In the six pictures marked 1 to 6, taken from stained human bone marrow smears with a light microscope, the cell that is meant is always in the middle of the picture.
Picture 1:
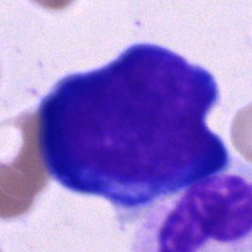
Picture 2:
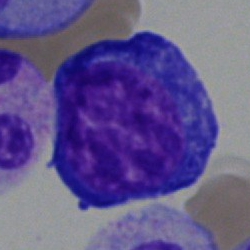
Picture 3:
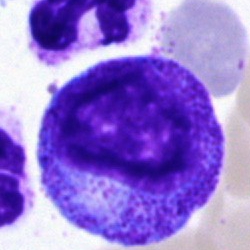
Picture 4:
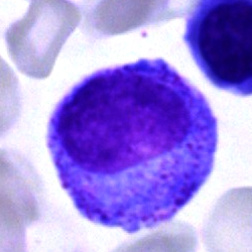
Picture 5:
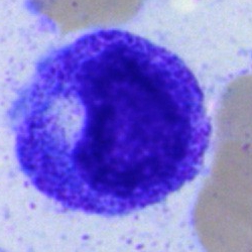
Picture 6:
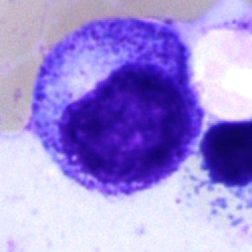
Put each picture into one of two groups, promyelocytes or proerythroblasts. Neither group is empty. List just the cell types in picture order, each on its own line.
proerythroblast
proerythroblast
promyelocyte
promyelocyte
promyelocyte
promyelocyte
